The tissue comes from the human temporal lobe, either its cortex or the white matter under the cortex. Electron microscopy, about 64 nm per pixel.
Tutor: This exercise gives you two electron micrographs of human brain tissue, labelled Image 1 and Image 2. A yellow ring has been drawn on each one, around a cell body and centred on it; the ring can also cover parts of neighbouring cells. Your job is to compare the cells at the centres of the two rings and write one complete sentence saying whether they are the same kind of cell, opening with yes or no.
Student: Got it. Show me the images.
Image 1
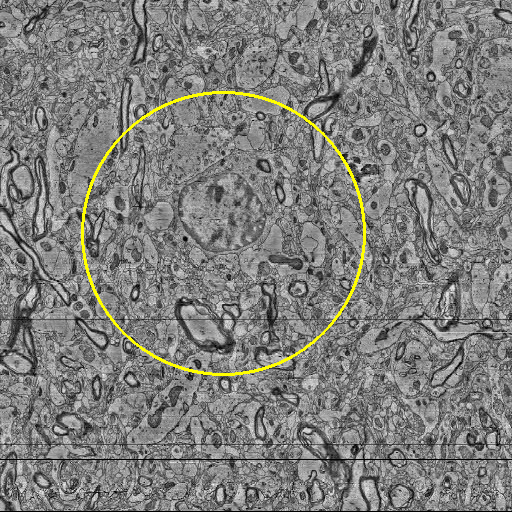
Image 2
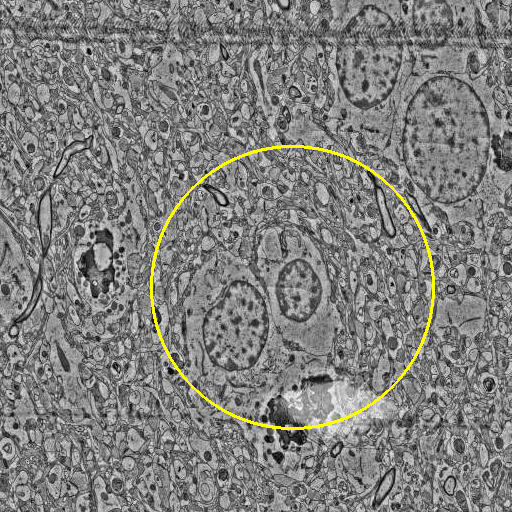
No, the two cells belong to two kinds.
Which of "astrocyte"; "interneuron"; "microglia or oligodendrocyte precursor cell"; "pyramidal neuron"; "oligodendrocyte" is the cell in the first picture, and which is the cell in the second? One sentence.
The two differ: the first cell is an oligodendrocyte and the second is an astrocyte.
